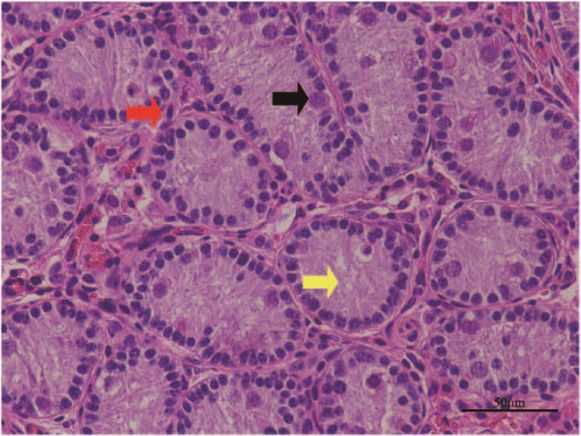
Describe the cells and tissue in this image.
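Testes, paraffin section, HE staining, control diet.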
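The section shows testis with closely packed, round to oval seminiferous tubules cut in cross section and separated by narrow interstitium. Each tubule is lined by a basal row of dark, oval Sertoli cell nuclei whose pale pink cytoplasm fills the centre, so that little or no lumen is open. Scattered larger, round cells with paler nuclei lie among the Sertoli cells. Between tubules, small groups of Leydig cells with round nuclei and pink cytoplasm lie beside thin-walled vessels.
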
